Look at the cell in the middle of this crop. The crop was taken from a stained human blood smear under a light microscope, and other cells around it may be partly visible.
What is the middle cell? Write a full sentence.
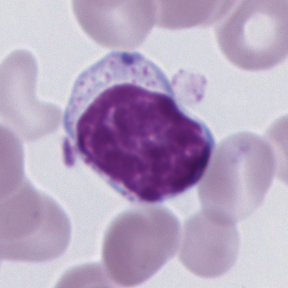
What the crop centres on is a large granular lymphocyte.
